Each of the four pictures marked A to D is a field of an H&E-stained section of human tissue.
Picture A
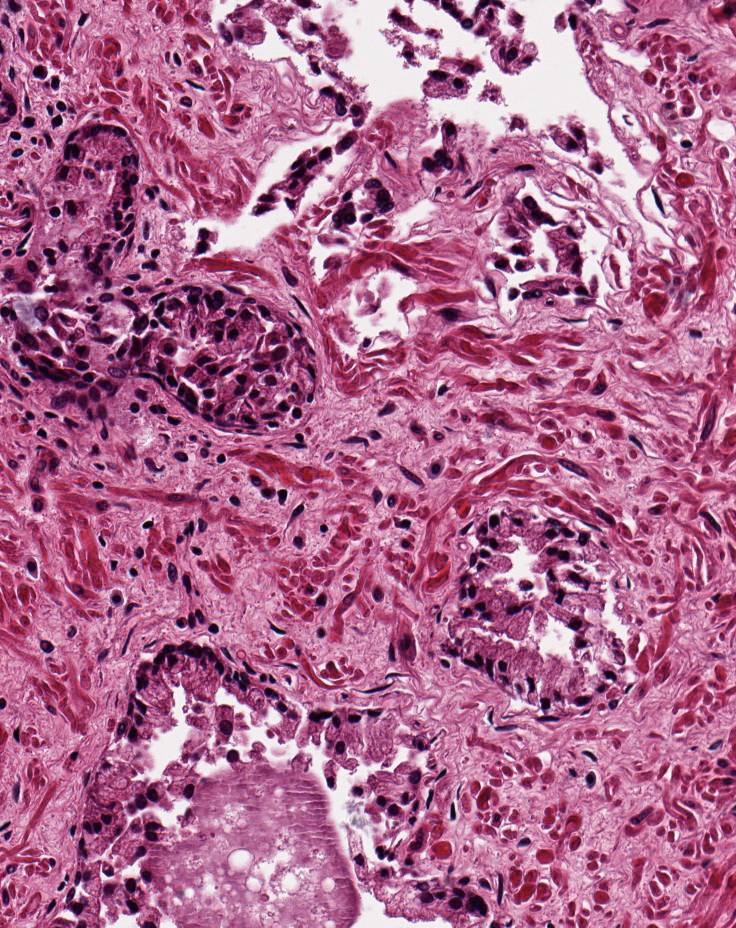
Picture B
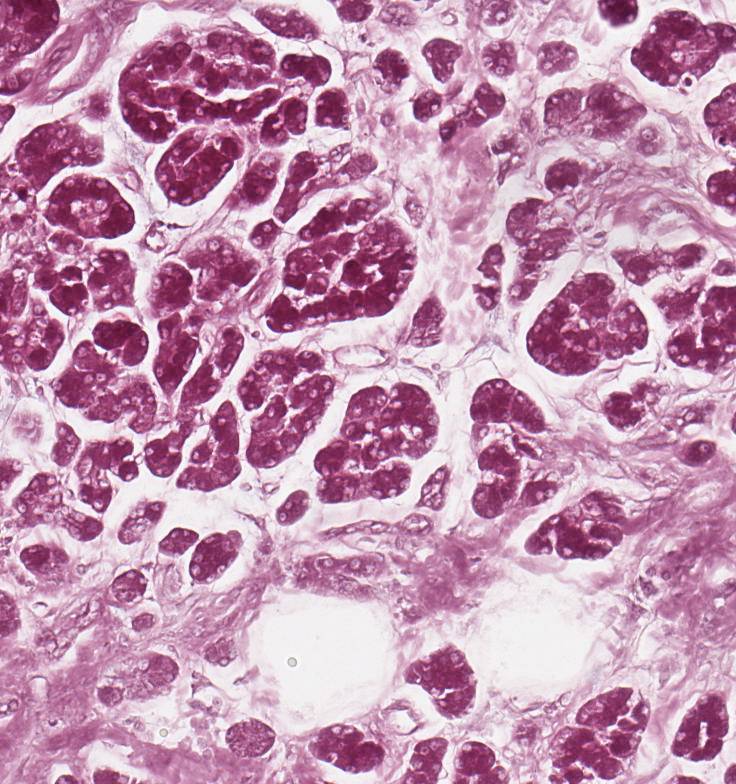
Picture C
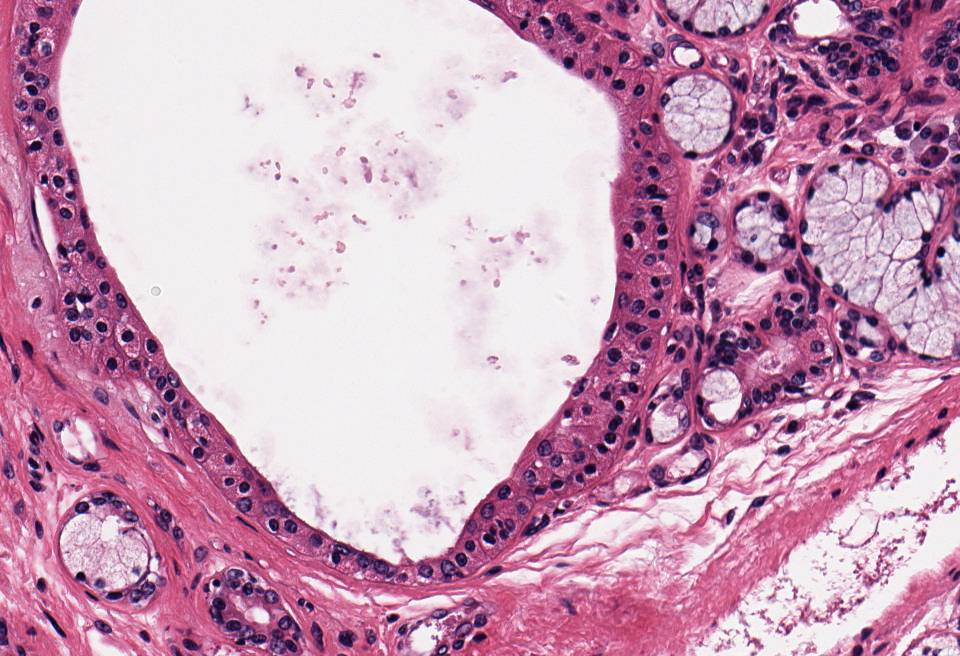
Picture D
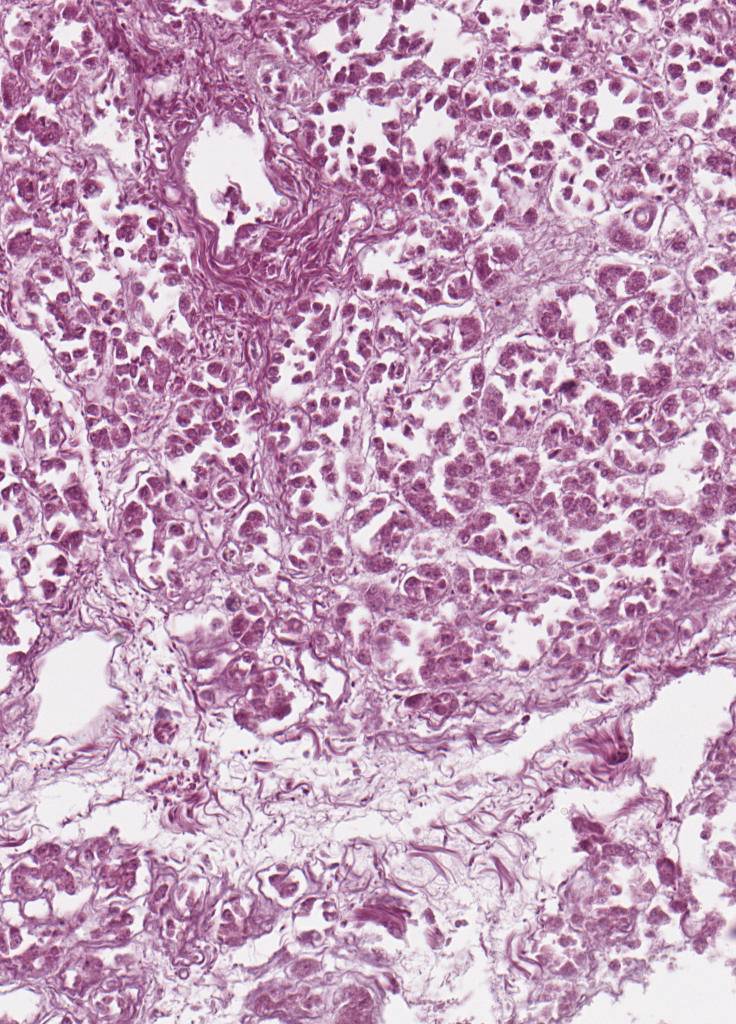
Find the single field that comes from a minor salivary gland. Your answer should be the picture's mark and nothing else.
C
